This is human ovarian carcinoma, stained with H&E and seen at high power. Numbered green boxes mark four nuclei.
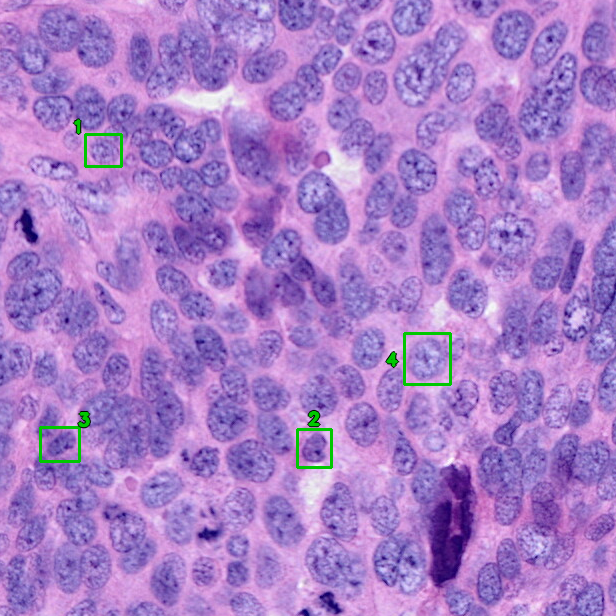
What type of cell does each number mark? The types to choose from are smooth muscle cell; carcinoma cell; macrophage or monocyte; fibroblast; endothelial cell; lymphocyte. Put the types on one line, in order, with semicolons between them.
carcinoma cell; macrophage or monocyte; carcinoma cell; carcinoma cell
